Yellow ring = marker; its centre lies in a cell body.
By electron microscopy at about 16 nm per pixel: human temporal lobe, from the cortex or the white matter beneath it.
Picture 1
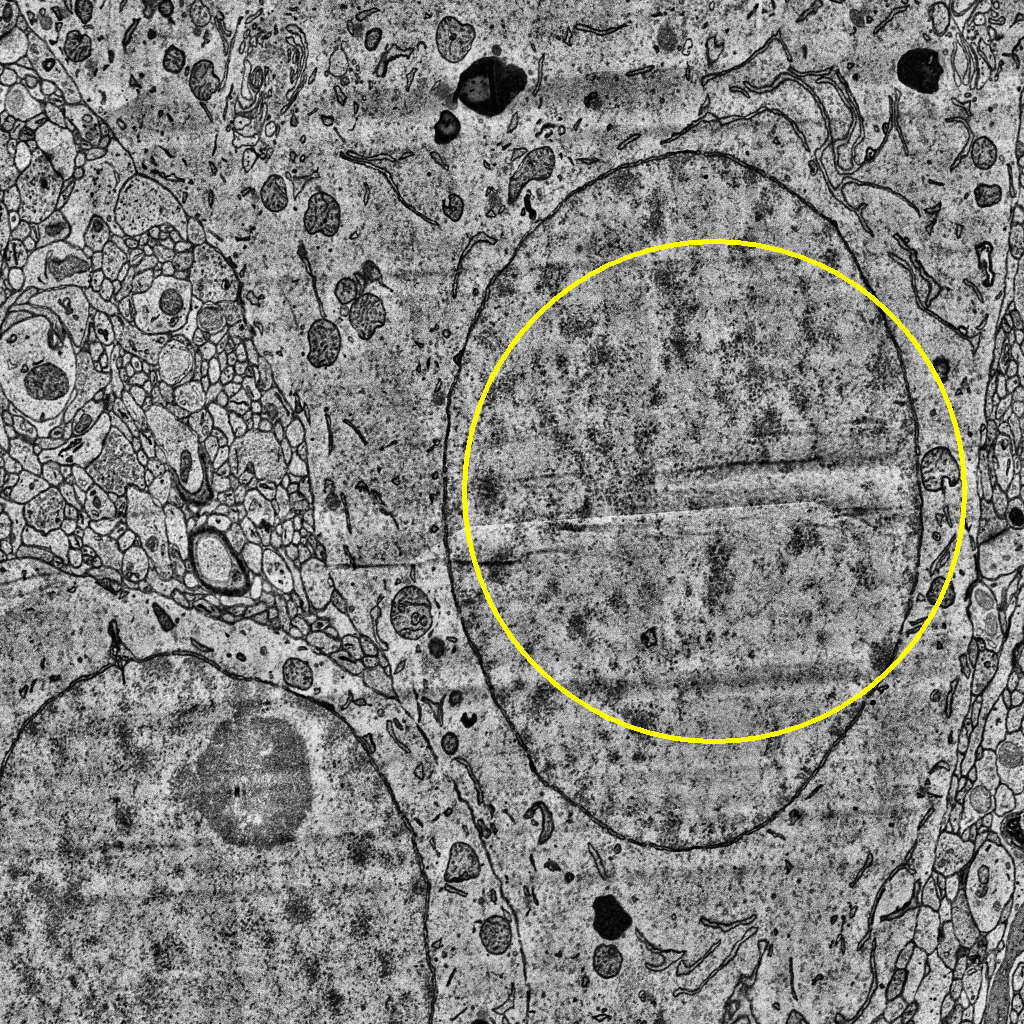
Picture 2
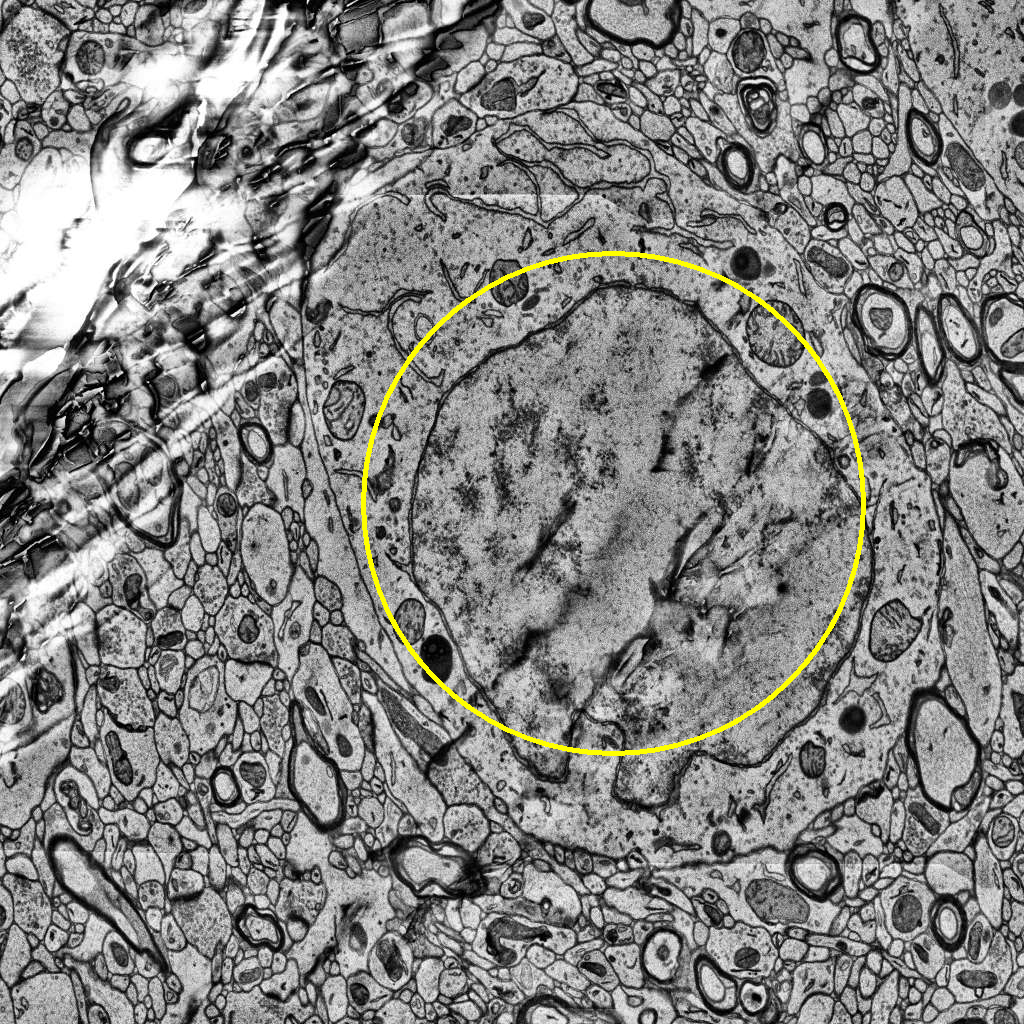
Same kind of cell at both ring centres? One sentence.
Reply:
Yes, they are the same kind of cell.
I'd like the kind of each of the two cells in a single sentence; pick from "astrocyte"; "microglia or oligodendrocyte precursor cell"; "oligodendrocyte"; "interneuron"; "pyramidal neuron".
The ring centre holds a pyramidal neuron in each of the two pictures.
